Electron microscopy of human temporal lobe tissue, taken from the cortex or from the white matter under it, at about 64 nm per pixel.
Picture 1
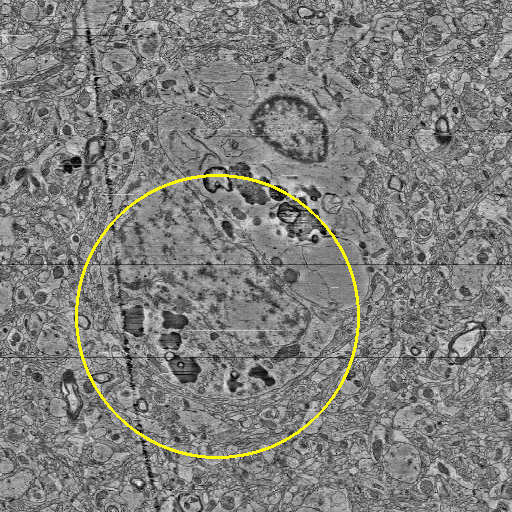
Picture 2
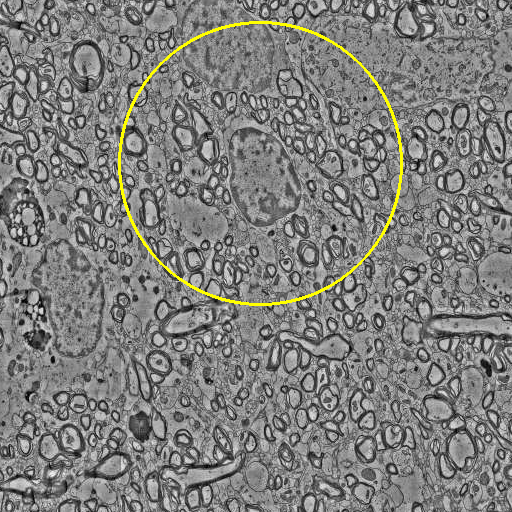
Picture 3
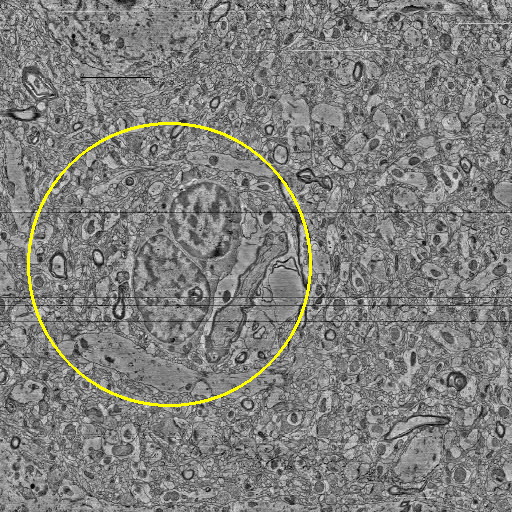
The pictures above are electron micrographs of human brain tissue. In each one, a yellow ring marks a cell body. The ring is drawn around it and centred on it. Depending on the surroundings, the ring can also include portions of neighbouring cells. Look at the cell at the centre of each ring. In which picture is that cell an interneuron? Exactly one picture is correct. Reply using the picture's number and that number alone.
1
